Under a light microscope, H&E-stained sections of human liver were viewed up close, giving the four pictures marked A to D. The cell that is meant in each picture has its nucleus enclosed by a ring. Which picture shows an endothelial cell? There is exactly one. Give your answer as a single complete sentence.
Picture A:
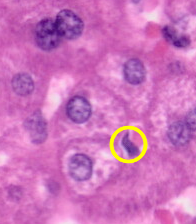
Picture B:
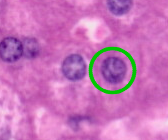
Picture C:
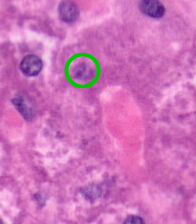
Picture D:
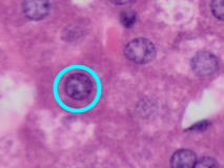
Picture A shows the endothelial cell.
